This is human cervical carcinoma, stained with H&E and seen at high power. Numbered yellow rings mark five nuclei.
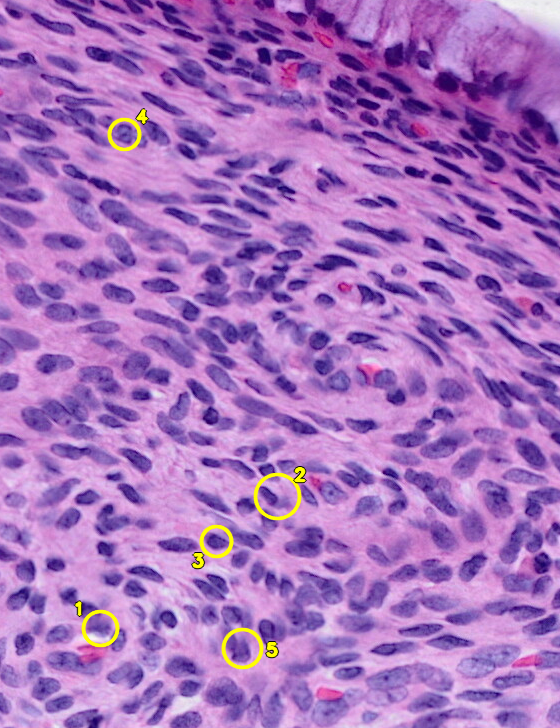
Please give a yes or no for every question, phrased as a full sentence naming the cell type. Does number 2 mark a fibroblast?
Yes, cell number 2 is classified as a fibroblast.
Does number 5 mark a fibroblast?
Yes, the cell referred to as number 5 is a fibroblast.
